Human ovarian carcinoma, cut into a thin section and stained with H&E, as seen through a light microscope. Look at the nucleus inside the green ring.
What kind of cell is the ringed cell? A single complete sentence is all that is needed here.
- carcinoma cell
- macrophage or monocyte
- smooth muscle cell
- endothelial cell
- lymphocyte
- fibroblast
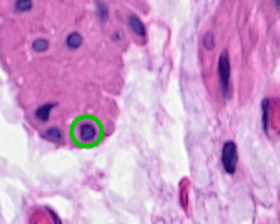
For cell typing purposes, the ringed cell is a smooth muscle cell.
